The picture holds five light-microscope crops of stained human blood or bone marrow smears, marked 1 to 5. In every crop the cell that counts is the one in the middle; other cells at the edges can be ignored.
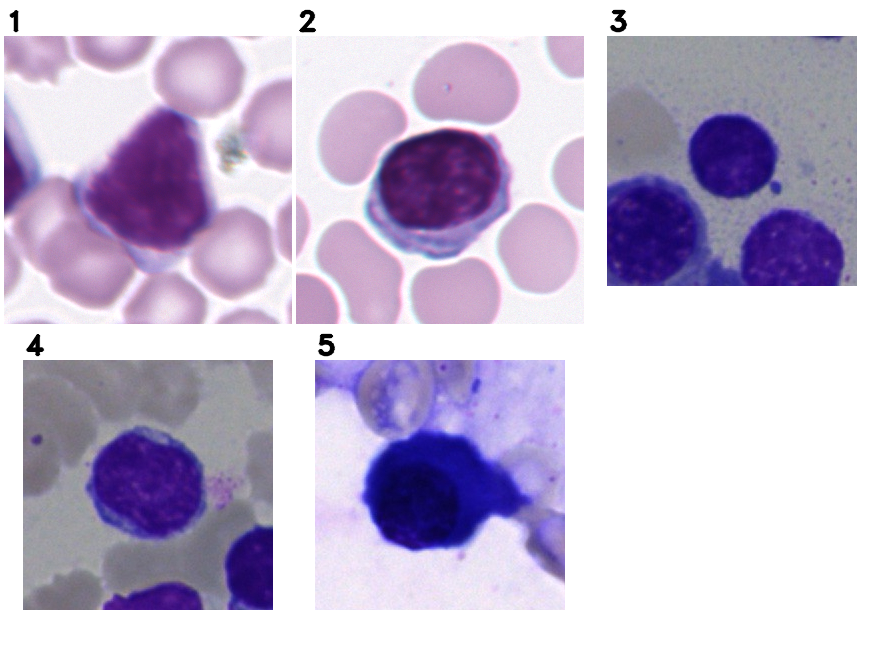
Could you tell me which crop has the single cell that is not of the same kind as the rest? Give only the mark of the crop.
5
